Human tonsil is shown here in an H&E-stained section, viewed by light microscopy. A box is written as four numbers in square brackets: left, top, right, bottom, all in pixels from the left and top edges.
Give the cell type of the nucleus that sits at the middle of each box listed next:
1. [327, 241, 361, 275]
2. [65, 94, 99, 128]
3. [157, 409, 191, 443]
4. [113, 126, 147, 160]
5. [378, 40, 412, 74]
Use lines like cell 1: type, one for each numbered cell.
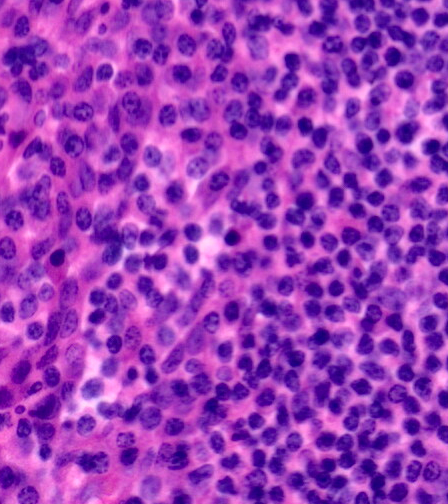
cell 1: small lymphocyte
cell 2: plasma cell
cell 3: plasma cell
cell 4: plasma cell
cell 5: small lymphocyte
